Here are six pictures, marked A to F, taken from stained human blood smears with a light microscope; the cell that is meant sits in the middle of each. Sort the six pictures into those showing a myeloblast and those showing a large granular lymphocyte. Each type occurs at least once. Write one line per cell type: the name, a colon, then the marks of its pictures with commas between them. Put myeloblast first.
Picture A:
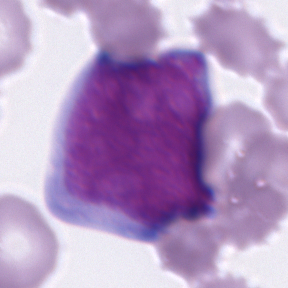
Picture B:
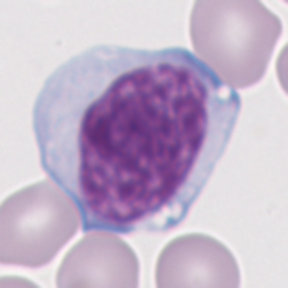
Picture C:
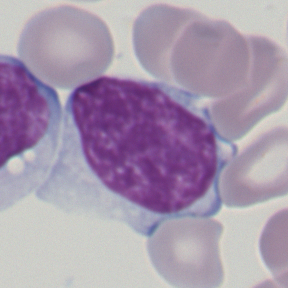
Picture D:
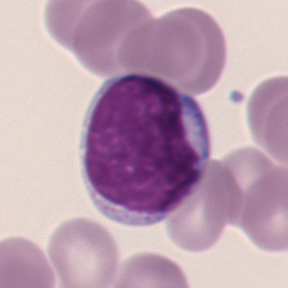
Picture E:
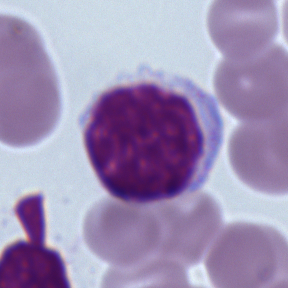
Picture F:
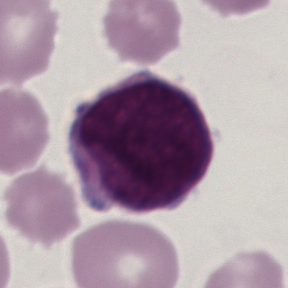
myeloblast: A, B, C, F
large granular lymphocyte: D, E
